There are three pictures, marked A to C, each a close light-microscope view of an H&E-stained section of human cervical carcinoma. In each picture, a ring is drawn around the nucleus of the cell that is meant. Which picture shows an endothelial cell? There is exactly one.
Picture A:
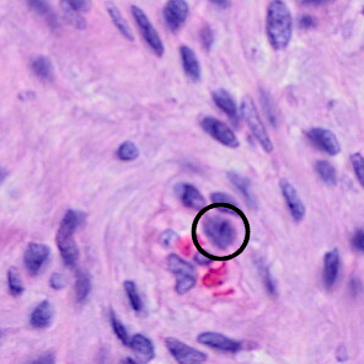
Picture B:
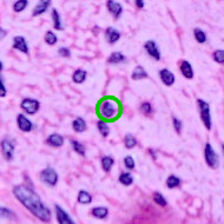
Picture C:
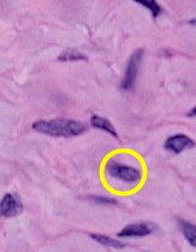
A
